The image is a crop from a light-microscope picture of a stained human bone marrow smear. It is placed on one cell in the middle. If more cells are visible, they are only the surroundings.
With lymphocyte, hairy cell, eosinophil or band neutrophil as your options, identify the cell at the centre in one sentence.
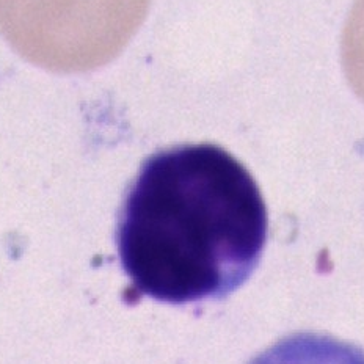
The middle of this crop is occupied by a lymphocyte.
